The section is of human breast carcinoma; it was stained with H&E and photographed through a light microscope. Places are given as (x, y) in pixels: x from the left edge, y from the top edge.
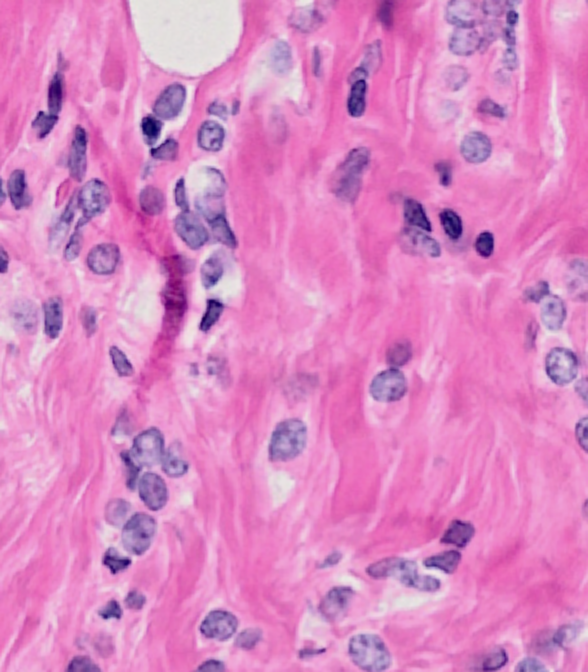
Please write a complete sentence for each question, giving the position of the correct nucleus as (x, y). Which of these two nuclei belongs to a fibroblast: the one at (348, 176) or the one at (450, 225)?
Of the pair, the nucleus positioned at (348, 176) is that of a fibroblast.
